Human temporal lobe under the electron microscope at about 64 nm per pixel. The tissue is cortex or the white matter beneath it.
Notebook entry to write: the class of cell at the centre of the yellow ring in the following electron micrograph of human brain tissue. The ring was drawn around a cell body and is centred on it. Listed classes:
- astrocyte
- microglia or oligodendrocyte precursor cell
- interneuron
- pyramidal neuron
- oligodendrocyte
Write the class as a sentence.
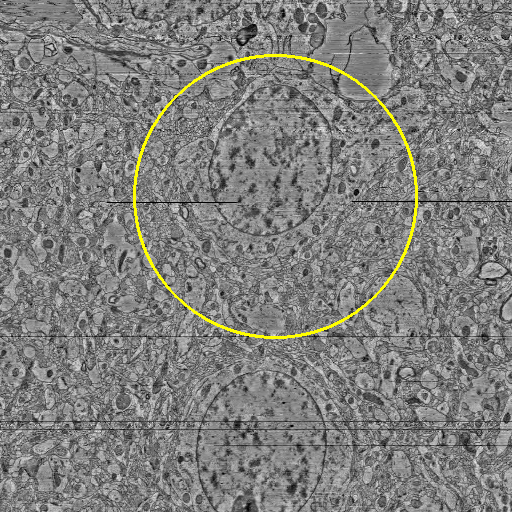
The yellow ring sits on a pyramidal neuron.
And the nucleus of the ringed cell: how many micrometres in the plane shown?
The nucleus has a long axis of about 10 micrometres and a short axis of about 8 micrometres in this plane.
